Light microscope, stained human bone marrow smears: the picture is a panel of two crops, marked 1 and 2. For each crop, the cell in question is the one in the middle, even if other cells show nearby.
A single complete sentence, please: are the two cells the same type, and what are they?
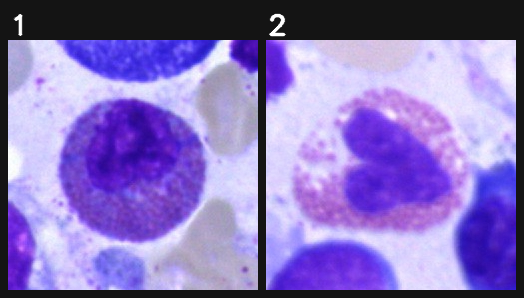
Yes, the cells in the centres of the two crops are eosinophils.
